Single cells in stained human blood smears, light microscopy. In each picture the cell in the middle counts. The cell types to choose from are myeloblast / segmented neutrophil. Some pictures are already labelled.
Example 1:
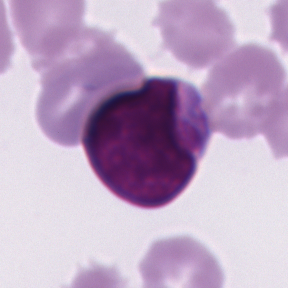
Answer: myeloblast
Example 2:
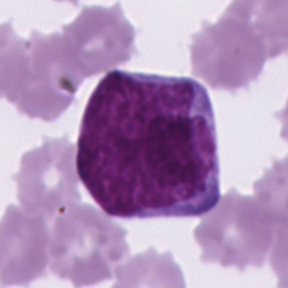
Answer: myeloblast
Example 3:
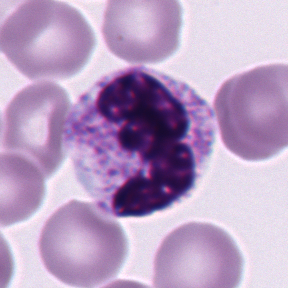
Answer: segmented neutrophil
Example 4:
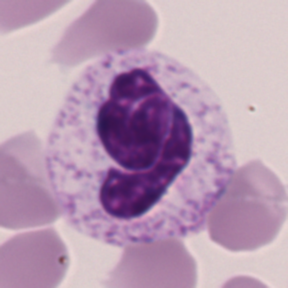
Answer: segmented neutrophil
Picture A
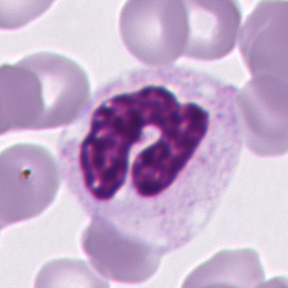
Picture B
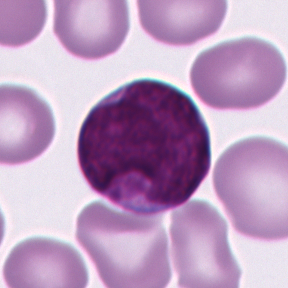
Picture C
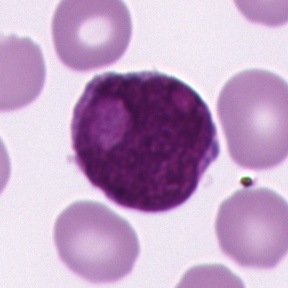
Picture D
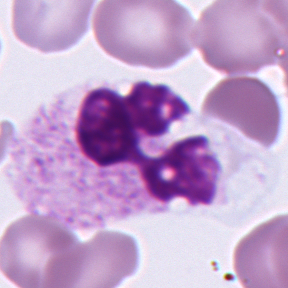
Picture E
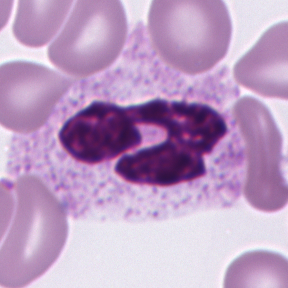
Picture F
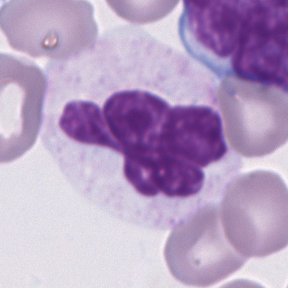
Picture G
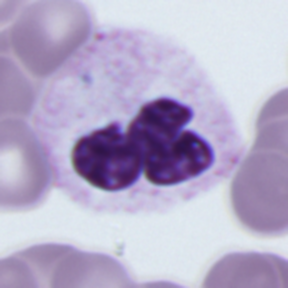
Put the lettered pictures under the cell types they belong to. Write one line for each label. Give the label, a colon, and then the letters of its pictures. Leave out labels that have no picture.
myeloblast: B, C
segmented neutrophil: A, D, E, F, G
